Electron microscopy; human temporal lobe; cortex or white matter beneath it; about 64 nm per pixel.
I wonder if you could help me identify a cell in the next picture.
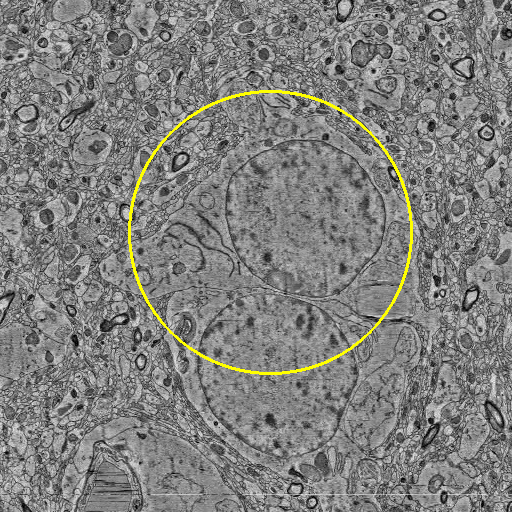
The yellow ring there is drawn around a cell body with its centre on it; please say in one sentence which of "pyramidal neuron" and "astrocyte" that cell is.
The yellow ring is centred on an astrocyte.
